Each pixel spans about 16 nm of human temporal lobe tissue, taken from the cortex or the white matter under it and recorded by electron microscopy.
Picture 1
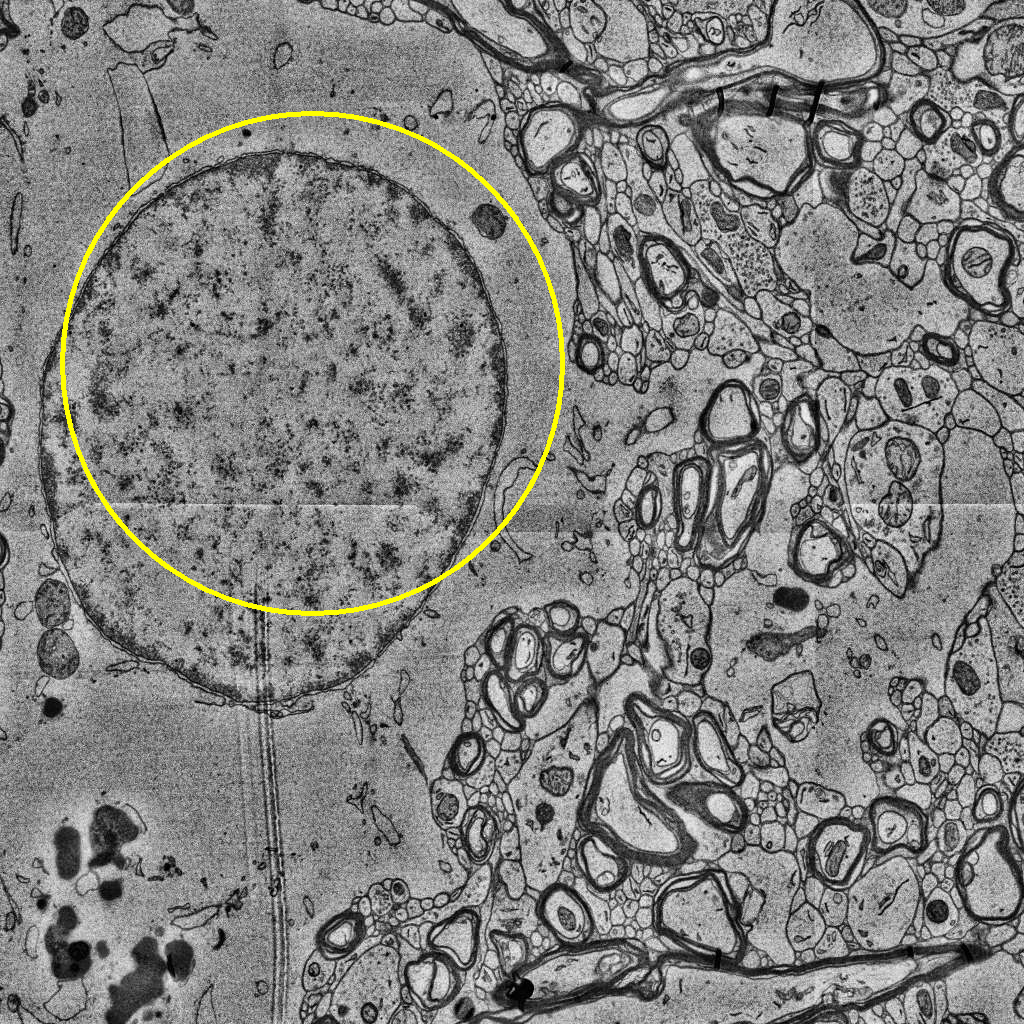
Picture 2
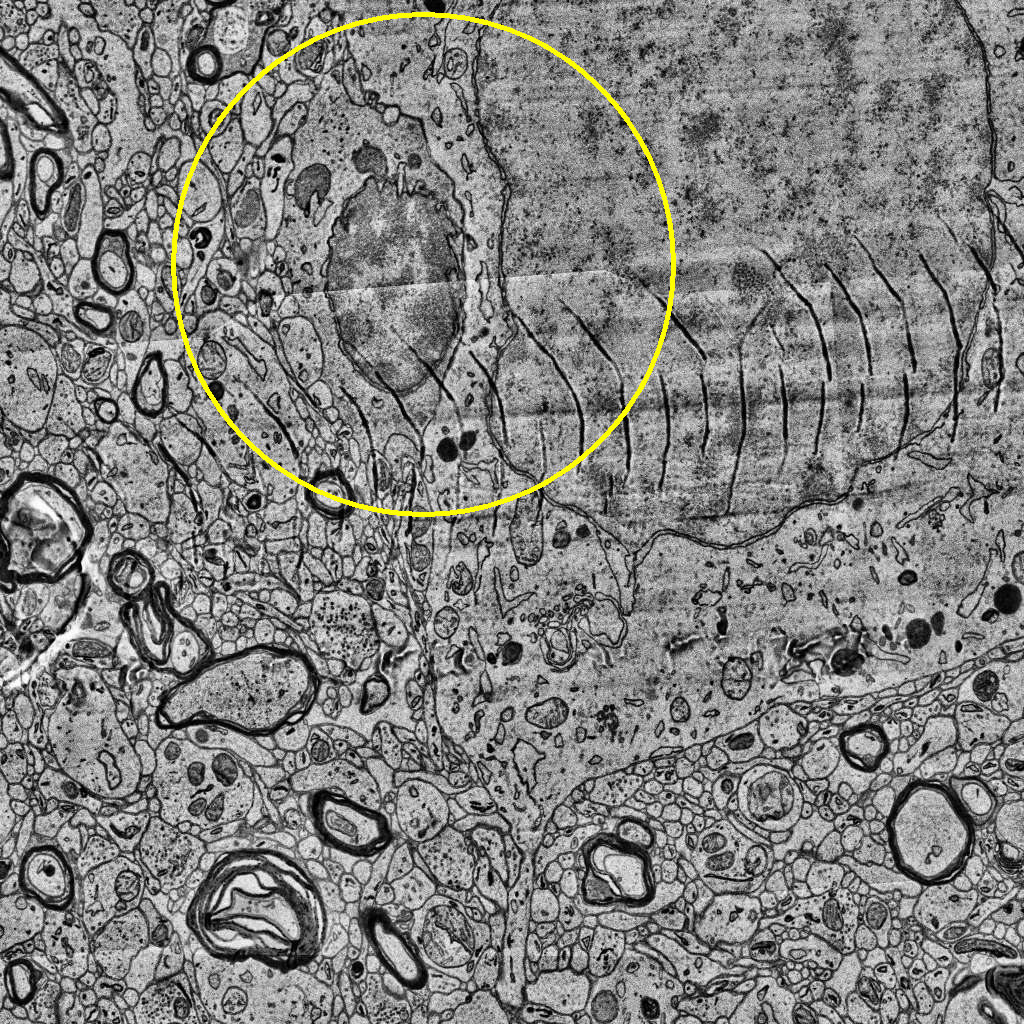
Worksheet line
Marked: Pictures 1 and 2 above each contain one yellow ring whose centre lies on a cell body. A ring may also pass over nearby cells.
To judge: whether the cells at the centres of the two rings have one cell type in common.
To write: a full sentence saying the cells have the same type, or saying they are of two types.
The cells at the centres of the rings in Picture 1 and Picture 2 are of two types.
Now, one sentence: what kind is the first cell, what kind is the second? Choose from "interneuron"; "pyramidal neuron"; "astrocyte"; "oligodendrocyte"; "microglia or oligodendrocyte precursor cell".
The first is an astrocyte and the second is an oligodendrocyte.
